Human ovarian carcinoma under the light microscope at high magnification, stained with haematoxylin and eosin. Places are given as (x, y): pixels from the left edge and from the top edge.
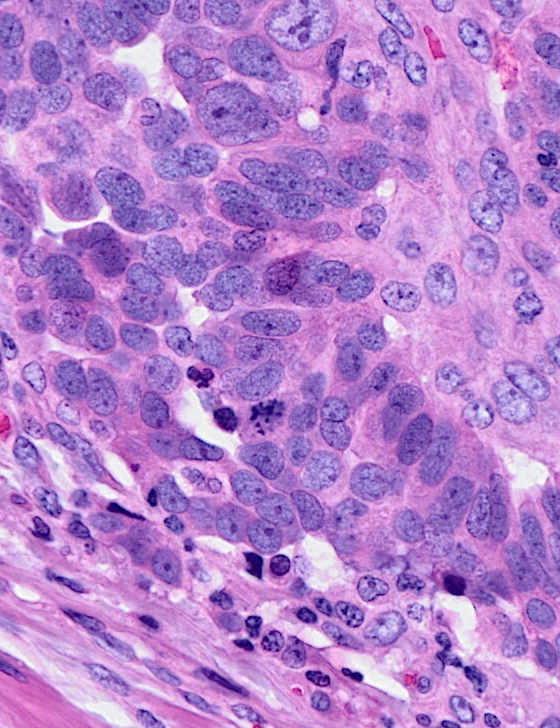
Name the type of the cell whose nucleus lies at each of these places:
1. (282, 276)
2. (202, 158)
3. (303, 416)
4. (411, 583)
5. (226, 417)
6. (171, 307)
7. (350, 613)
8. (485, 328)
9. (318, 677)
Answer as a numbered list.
1. carcinoma cell
2. carcinoma cell
3. carcinoma cell
4. macrophage or monocyte
5. carcinoma cell
6. carcinoma cell
7. macrophage or monocyte
8. fibroblast
9. lymphocyte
